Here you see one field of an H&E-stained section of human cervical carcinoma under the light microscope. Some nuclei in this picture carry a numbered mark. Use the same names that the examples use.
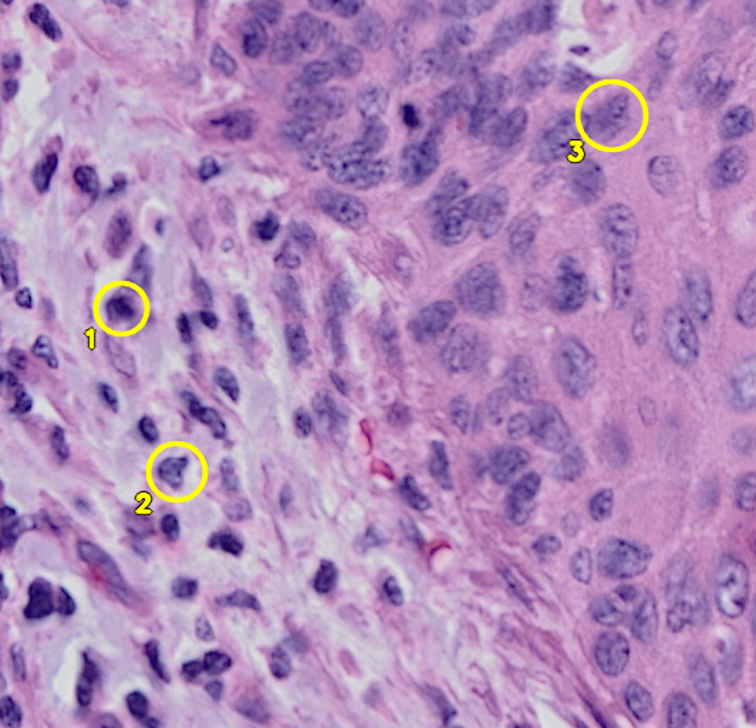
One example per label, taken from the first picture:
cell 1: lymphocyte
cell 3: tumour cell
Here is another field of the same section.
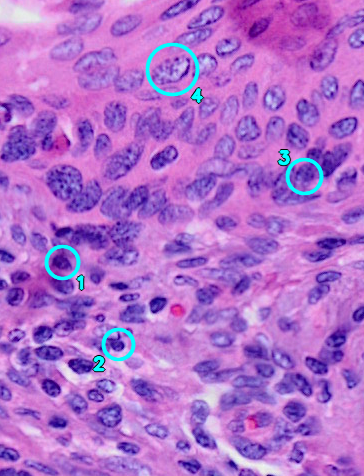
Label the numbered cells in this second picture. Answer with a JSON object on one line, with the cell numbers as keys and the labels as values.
{"1": "lymphocyte", "2": "lymphocyte", "3": "tumour cell", "4": "tumour cell"}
